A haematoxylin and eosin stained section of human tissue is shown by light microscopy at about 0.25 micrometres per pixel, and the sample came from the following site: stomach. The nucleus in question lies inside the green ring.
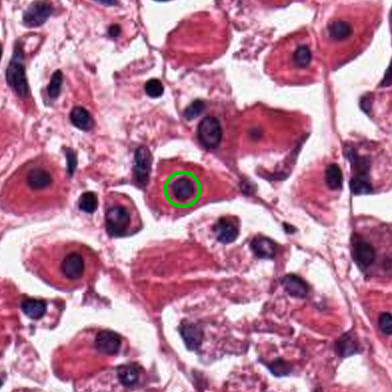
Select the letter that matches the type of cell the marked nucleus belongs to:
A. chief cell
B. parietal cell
B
